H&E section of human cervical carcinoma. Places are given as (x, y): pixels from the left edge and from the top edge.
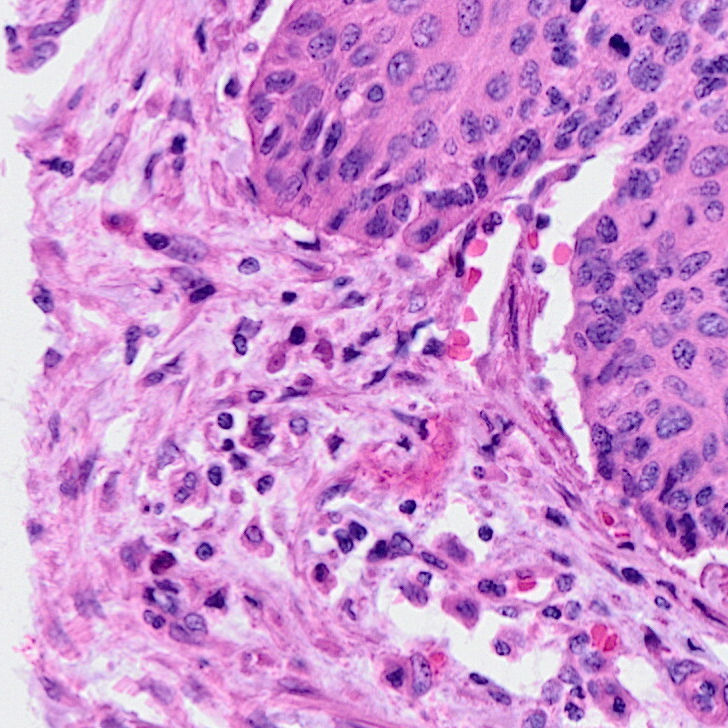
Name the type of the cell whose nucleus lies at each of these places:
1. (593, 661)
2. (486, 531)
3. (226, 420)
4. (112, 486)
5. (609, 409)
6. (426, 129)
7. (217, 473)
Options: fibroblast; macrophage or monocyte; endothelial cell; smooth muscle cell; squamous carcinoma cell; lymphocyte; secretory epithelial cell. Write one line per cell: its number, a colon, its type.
1: endothelial cell
2: lymphocyte
3: lymphocyte
4: fibroblast
5: squamous carcinoma cell
6: squamous carcinoma cell
7: lymphocyte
